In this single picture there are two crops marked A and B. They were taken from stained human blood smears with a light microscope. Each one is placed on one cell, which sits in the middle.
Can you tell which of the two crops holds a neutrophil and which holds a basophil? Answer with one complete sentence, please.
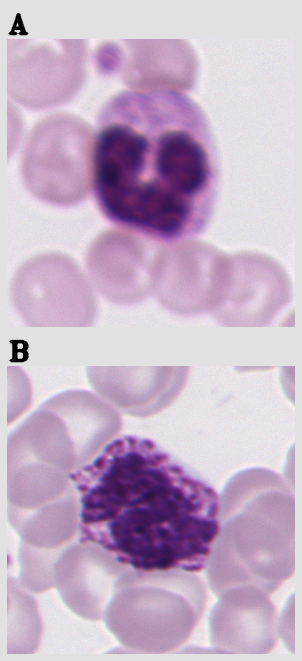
Here crop A is a neutrophil, and crop B is a basophil.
